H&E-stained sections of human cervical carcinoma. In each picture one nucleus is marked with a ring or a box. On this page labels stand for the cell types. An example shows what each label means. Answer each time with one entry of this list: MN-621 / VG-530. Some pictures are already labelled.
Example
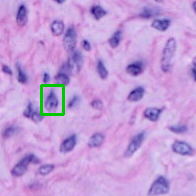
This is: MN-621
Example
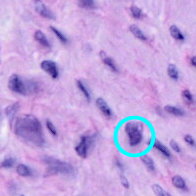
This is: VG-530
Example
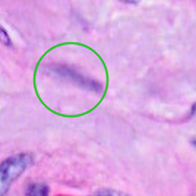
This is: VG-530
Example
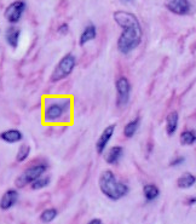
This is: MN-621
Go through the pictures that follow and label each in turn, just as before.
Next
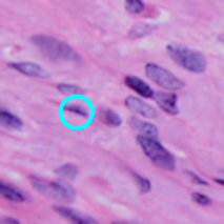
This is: VG-530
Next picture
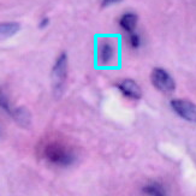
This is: VG-530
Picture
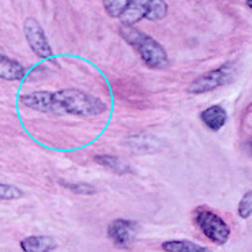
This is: MN-621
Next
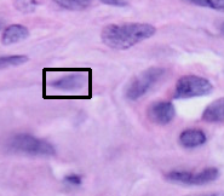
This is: VG-530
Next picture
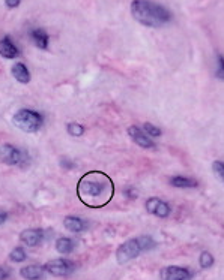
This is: MN-621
